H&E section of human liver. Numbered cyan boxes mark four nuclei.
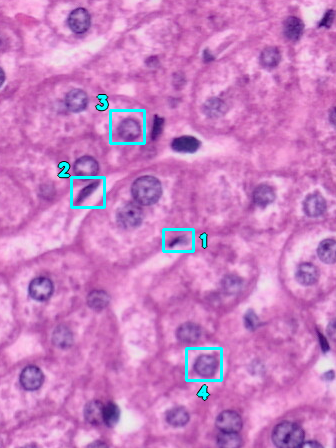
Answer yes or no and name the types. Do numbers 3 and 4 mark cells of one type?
Yes, in this tissue section, cells 3 and 4 are both hepatocytes.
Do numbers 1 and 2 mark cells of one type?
No, that's off: cell 1 is an endothelial cell and cell 2 is a Kupffer cell.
